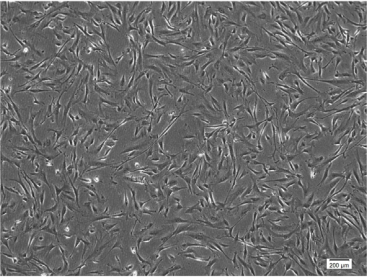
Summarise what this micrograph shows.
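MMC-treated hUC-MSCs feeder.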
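Fibroblast-like cells in culture, forming a dense, nearly confluent monolayer seen without stain. The cells are spindle-shaped, long and narrow, tapering at both ends into thin processes, and appear dark grey with bright halos along their edges. They lie in many orientations, with local groups running roughly parallel to one another and others crossing, leaving small gaps of clear background between them. A few cells look shorter or more rounded and brighter. No clumps or layered aggregates are seen; the cells spread as a single flat sheet across the whole field.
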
